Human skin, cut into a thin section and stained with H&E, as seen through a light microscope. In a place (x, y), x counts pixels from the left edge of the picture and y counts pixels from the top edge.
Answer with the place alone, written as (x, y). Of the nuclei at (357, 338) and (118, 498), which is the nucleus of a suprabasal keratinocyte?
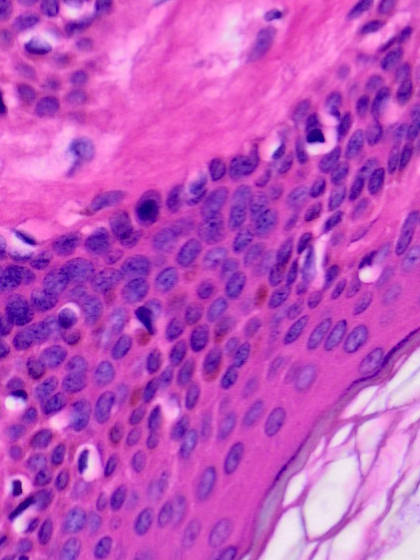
(357, 338)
